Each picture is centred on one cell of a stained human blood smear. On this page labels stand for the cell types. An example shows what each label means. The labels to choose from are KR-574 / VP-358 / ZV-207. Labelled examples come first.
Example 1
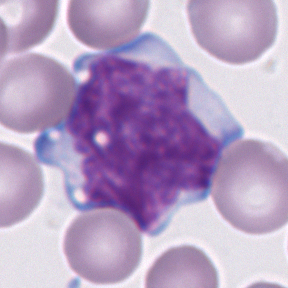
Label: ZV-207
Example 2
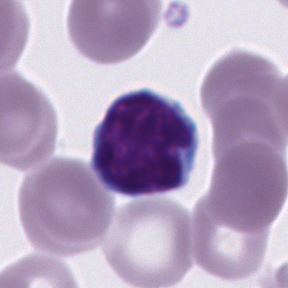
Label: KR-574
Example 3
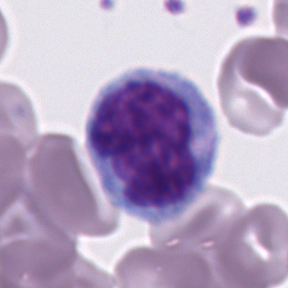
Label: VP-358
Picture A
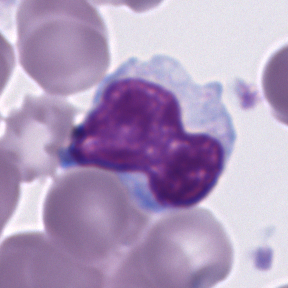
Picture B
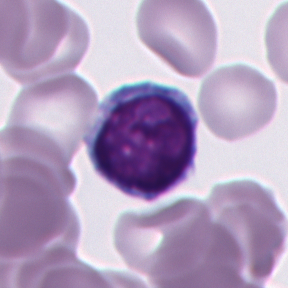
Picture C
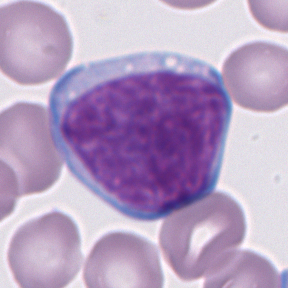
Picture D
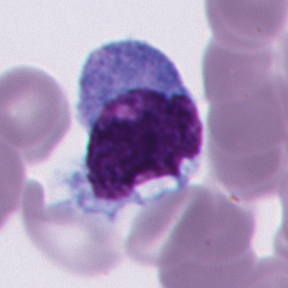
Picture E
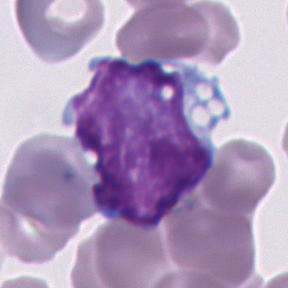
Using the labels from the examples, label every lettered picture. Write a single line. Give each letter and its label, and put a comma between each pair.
A KR-574, B KR-574, C ZV-207, D VP-358, E ZV-207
